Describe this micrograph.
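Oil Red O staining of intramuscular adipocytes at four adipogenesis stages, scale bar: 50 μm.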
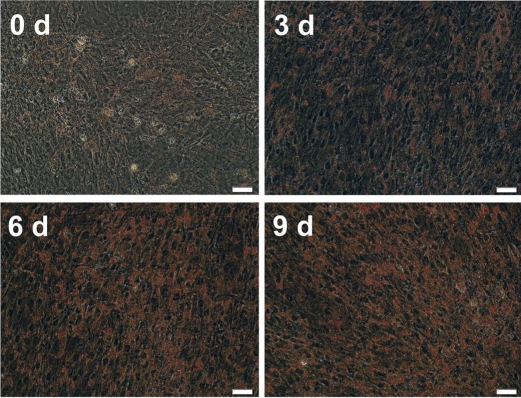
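In the frame labelled 0 d the cells are mostly elongated and spindle-shaped, lie closely side by side, and show only faint, scattered red staining, with a few small, rounded, bright cells sitting on top of the layer. In the other three frames many cells carry small red droplets in their cytoplasm, so the field looks densely speckled with orange-red.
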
